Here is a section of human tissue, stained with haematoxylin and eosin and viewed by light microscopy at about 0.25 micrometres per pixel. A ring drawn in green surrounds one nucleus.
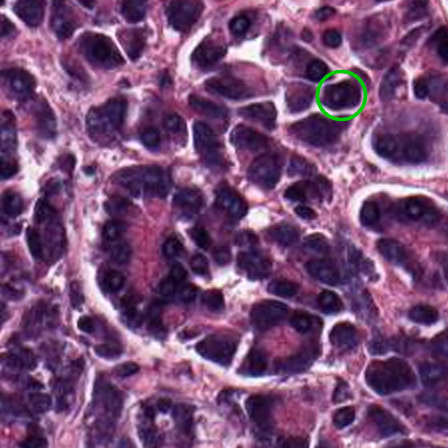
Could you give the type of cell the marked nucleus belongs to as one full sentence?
The marked nucleus forms part of a pancreatic acinar cell.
